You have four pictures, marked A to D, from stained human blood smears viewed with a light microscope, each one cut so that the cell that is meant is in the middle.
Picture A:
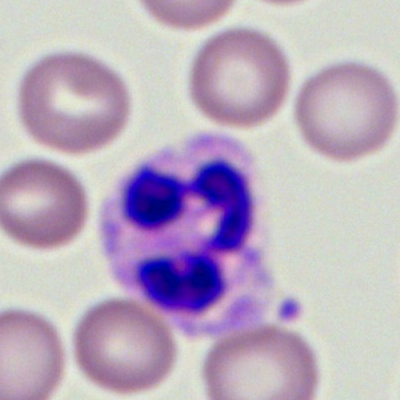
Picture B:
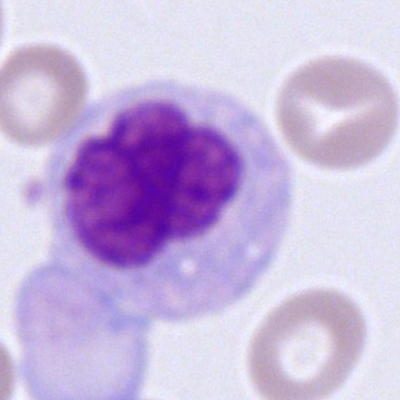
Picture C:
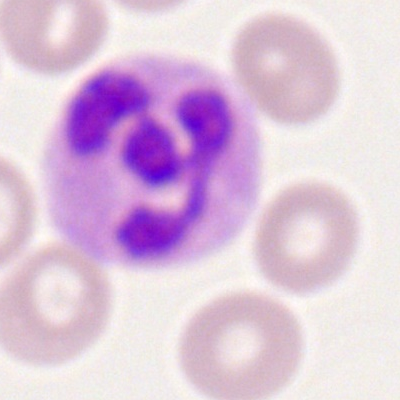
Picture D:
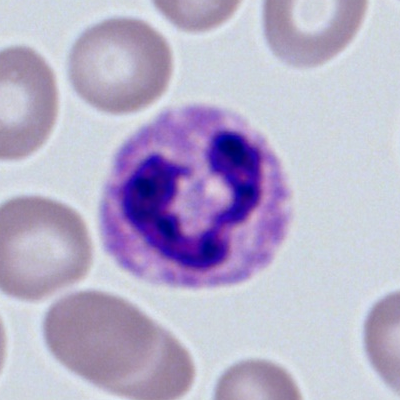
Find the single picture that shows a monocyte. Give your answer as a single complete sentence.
The cell in picture B is the monocyte.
